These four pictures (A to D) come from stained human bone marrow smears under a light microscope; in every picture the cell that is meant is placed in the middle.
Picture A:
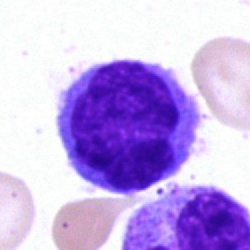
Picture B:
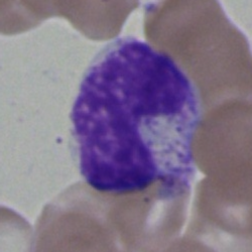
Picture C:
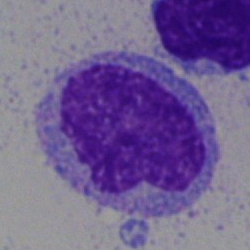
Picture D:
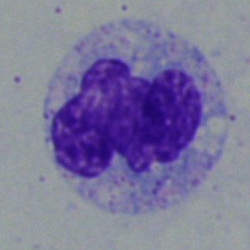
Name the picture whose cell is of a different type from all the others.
B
